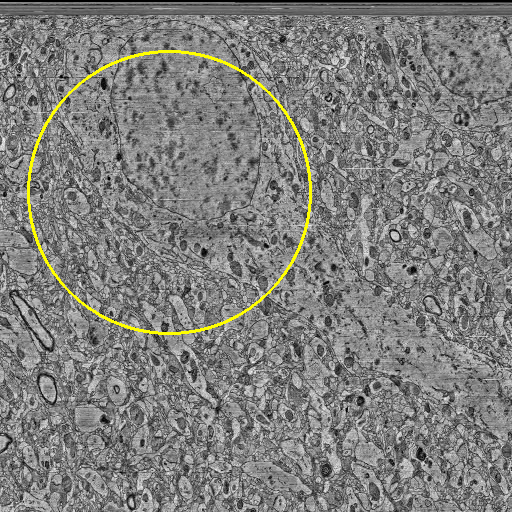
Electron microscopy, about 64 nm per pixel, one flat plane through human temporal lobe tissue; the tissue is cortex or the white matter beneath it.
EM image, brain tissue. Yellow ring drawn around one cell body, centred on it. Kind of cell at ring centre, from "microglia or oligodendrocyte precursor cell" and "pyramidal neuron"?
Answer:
pyramidal neuron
